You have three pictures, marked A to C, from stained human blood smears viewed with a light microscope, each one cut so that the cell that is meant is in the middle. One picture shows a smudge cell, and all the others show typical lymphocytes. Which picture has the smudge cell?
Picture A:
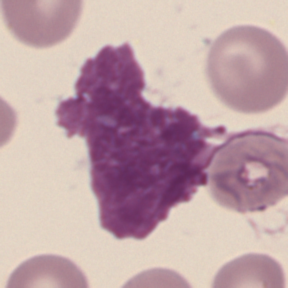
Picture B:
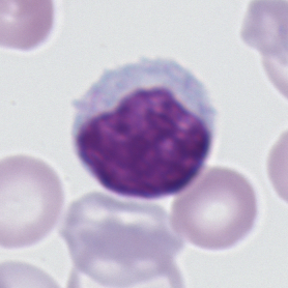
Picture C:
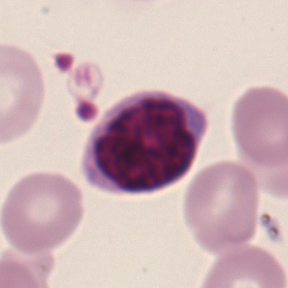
A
